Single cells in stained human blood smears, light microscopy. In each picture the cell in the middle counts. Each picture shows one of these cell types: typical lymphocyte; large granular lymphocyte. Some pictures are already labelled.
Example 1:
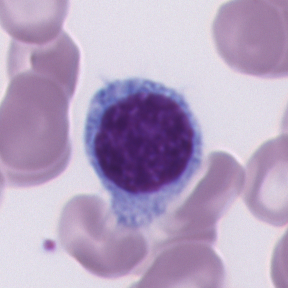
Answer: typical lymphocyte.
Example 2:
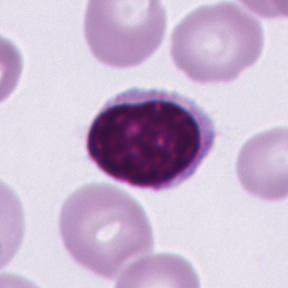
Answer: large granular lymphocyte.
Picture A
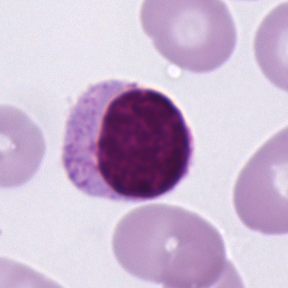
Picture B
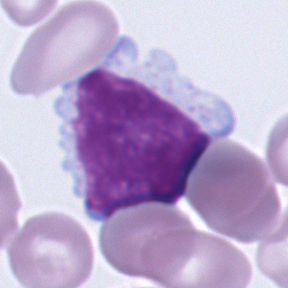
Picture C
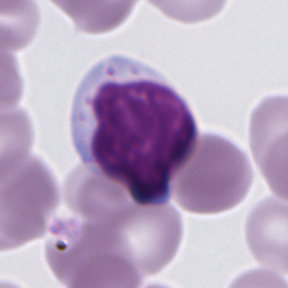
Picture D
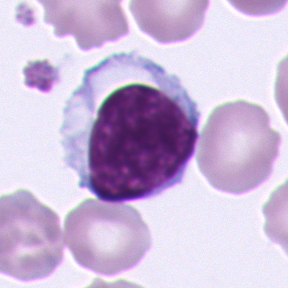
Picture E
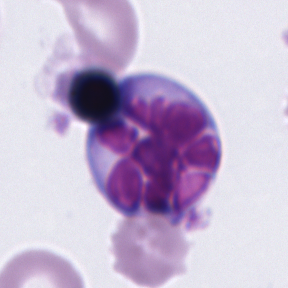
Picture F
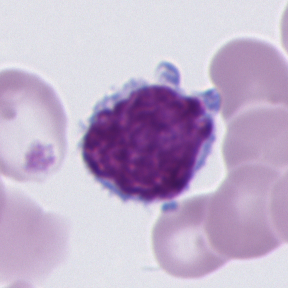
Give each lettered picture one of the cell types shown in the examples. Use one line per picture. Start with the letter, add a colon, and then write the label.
A: large granular lymphocyte.
B: typical lymphocyte.
C: large granular lymphocyte.
D: typical lymphocyte.
E: typical lymphocyte.
F: typical lymphocyte.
